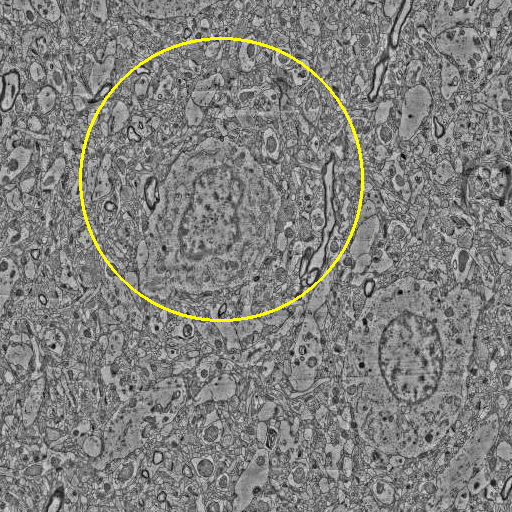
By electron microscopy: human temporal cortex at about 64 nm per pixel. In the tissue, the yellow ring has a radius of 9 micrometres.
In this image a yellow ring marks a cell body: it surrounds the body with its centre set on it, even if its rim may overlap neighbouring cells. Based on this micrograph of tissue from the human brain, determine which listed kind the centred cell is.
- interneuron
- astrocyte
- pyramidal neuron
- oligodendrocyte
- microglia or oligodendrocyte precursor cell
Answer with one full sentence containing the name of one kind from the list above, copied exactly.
It is an interneuron whose body the yellow ring encloses at its centre.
